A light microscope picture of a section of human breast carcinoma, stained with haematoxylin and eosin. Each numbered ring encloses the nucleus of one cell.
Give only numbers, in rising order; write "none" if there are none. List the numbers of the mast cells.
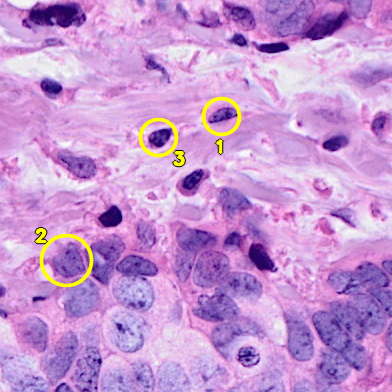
1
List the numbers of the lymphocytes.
3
